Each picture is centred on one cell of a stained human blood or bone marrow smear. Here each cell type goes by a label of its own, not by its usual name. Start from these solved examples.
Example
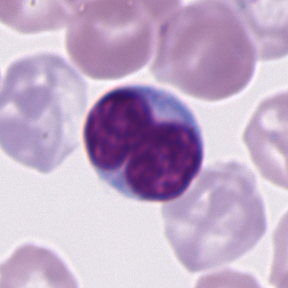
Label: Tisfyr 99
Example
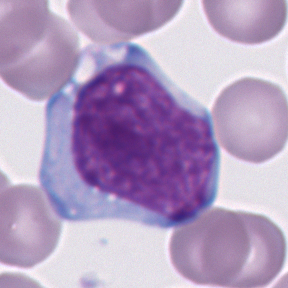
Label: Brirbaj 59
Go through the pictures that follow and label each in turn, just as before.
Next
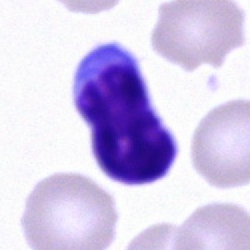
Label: Tisfyr 99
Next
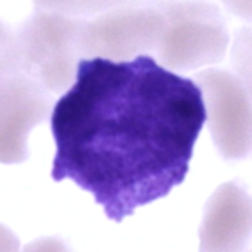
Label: Brirbaj 59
